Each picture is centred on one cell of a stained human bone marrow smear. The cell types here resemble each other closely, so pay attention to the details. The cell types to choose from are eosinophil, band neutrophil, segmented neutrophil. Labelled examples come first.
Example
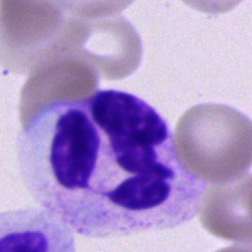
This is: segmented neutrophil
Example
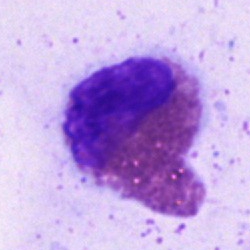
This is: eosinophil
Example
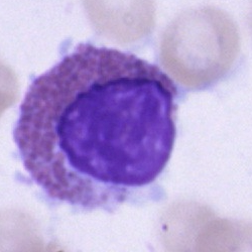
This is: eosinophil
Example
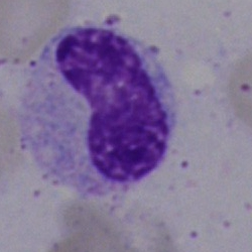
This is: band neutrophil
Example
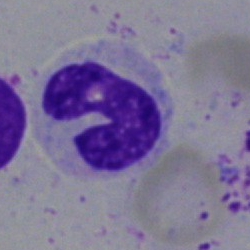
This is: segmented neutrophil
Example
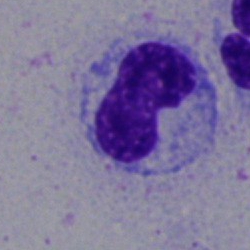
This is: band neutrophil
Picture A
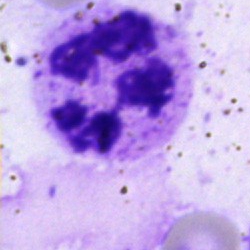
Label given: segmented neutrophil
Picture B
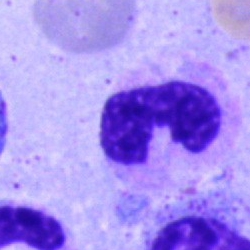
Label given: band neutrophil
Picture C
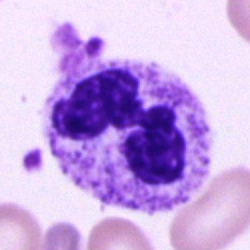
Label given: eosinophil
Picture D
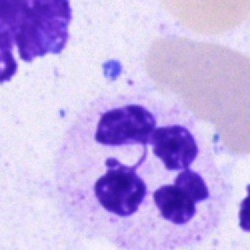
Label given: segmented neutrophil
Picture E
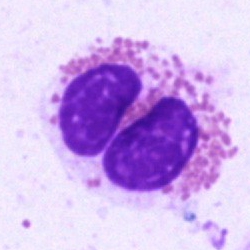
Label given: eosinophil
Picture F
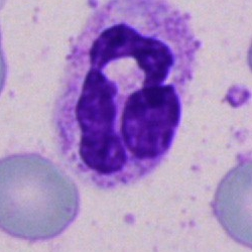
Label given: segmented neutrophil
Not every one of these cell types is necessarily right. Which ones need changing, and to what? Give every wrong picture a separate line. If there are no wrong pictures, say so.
C: not eosinophil but segmented neutrophil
